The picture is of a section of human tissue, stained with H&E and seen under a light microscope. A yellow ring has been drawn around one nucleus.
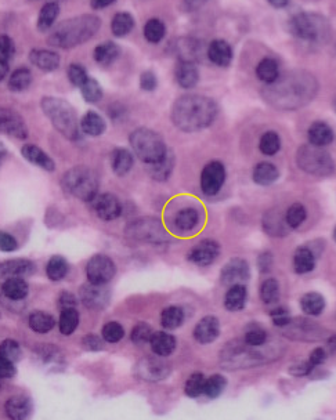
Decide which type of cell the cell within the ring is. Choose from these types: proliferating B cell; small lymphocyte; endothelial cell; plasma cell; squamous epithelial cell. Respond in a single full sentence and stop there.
The correct response here is that the cell within the ring is a plasma cell.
